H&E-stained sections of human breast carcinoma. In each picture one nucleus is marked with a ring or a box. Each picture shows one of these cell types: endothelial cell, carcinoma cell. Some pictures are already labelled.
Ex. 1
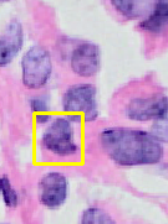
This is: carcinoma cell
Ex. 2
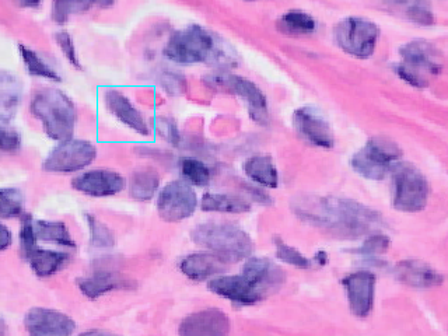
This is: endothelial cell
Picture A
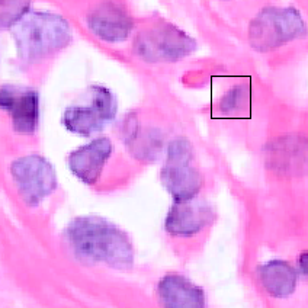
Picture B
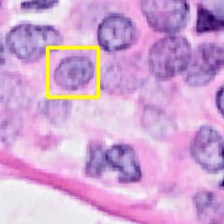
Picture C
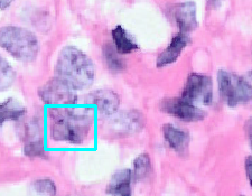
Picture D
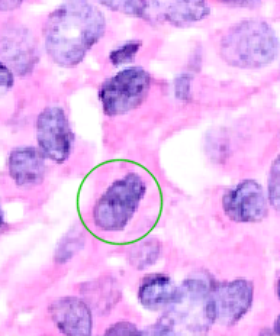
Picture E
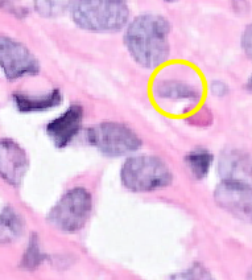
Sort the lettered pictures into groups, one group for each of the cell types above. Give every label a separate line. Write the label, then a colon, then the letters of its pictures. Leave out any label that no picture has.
endothelial cell: A, E
carcinoma cell: B, C, D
